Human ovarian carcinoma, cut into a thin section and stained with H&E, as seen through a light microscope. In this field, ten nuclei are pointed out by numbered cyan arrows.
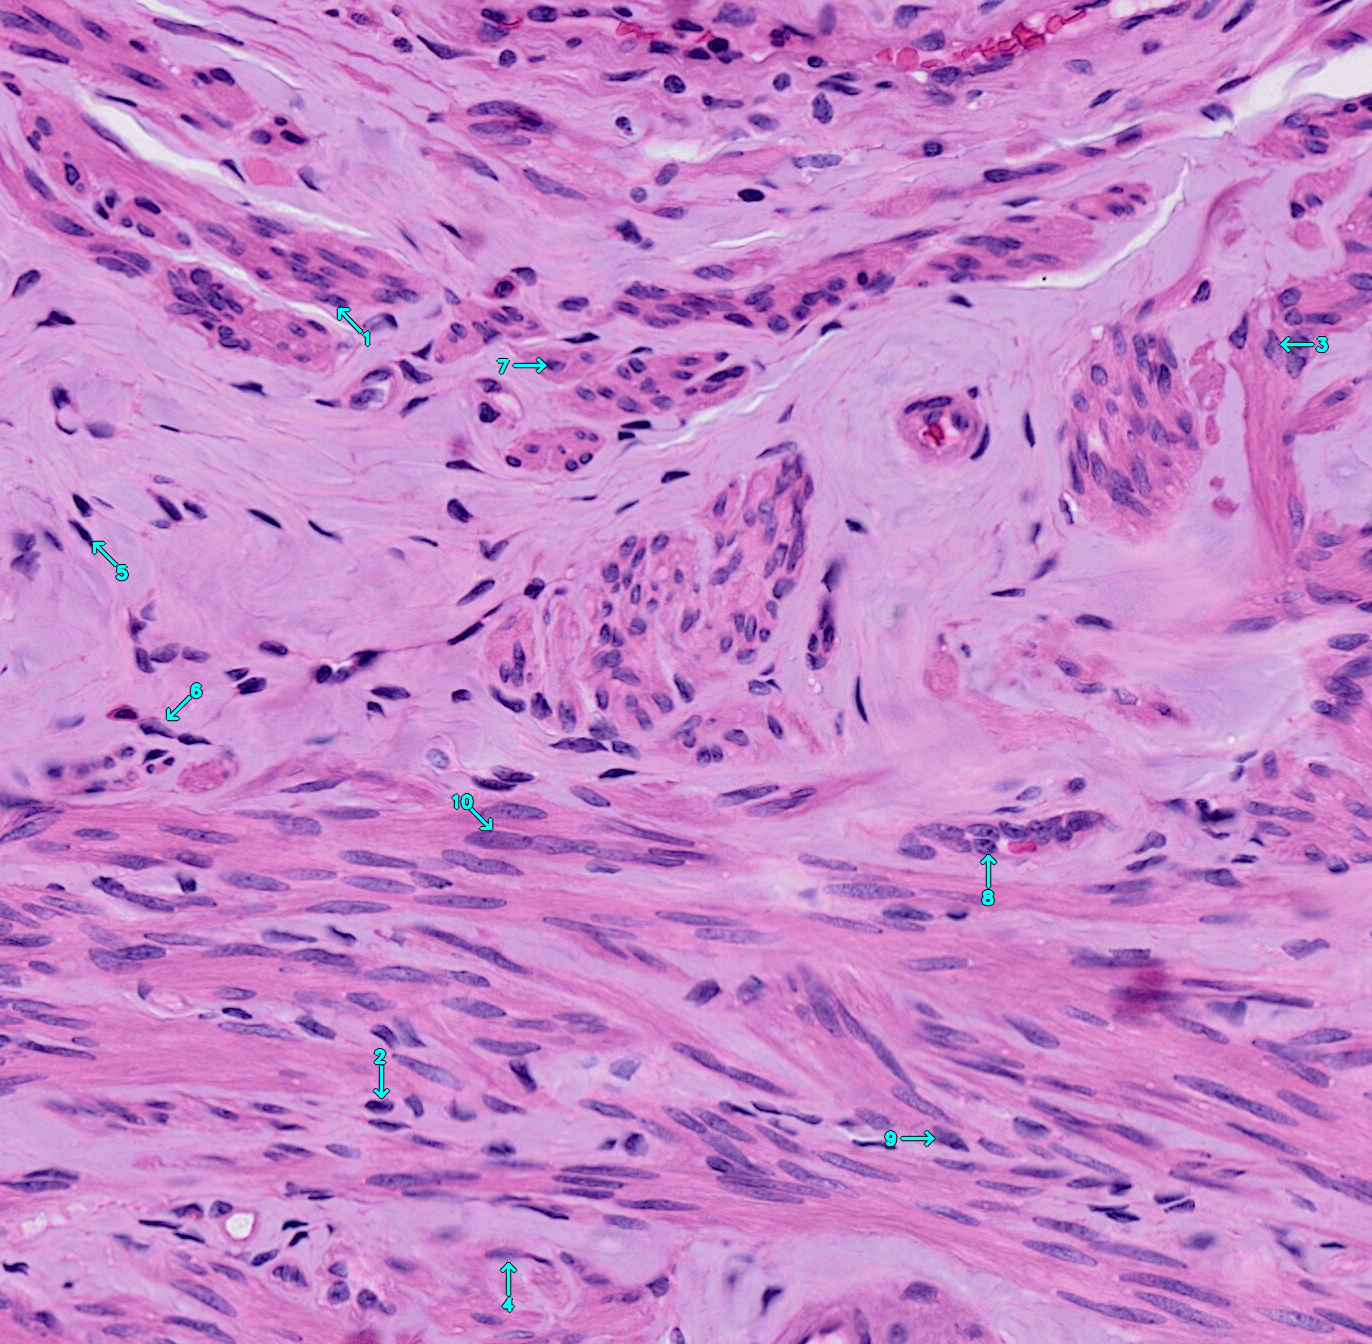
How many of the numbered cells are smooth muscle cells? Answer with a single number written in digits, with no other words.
6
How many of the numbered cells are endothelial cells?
1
